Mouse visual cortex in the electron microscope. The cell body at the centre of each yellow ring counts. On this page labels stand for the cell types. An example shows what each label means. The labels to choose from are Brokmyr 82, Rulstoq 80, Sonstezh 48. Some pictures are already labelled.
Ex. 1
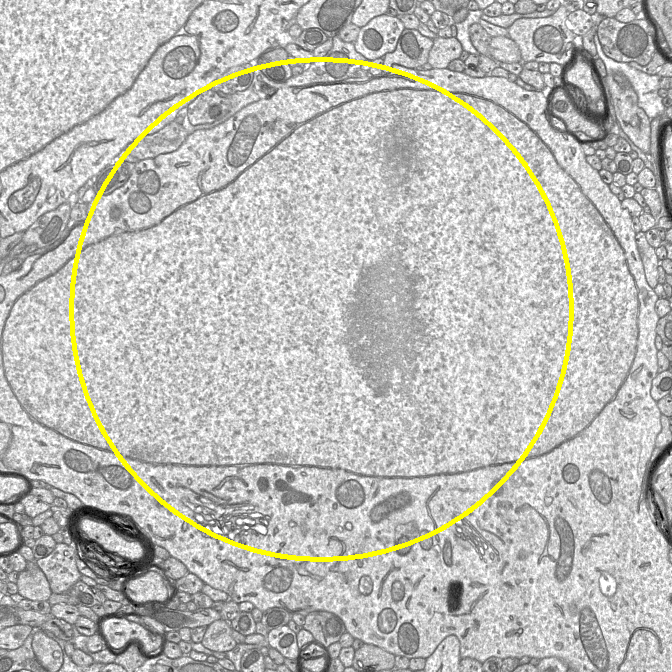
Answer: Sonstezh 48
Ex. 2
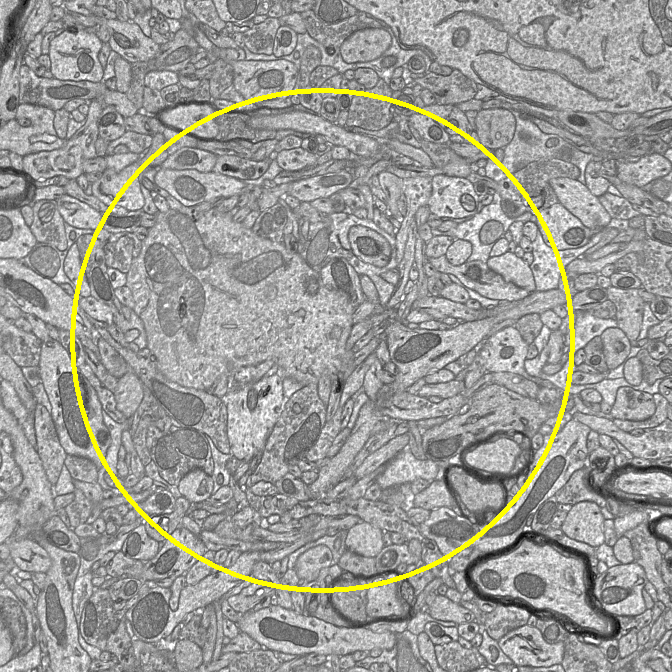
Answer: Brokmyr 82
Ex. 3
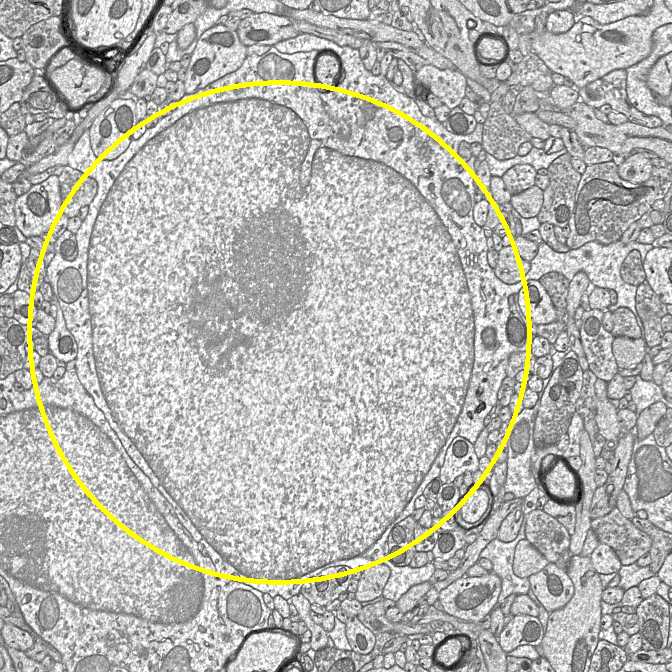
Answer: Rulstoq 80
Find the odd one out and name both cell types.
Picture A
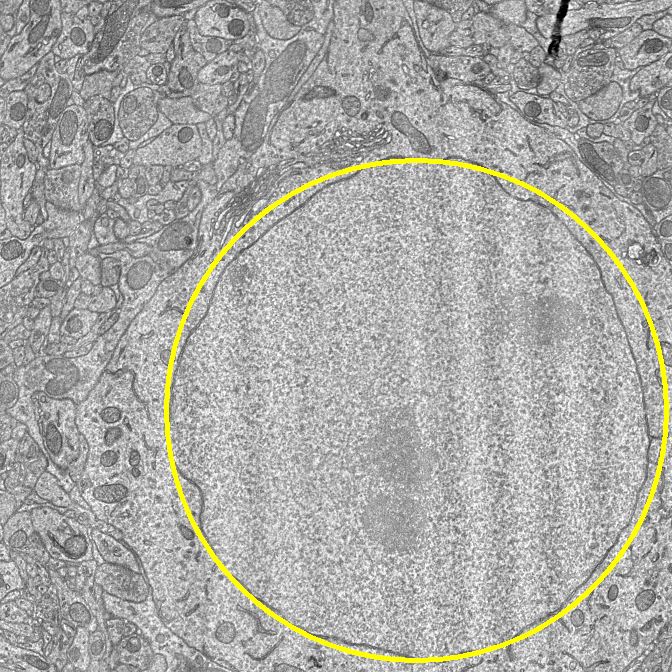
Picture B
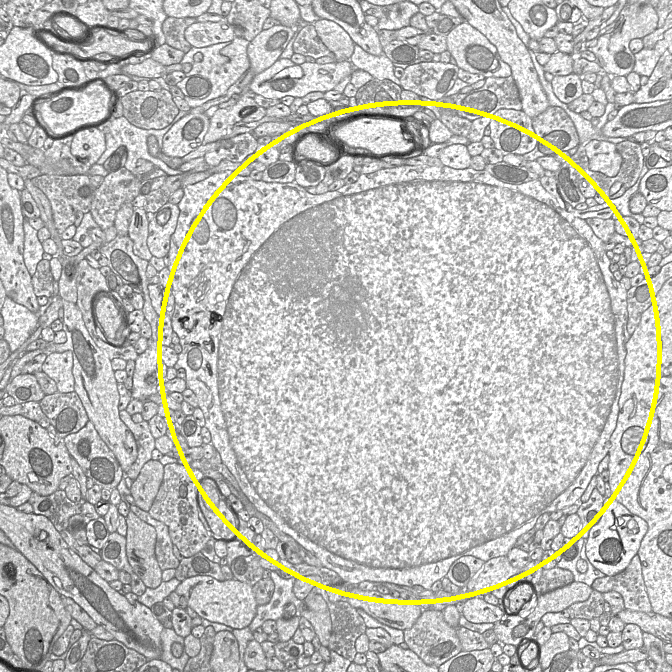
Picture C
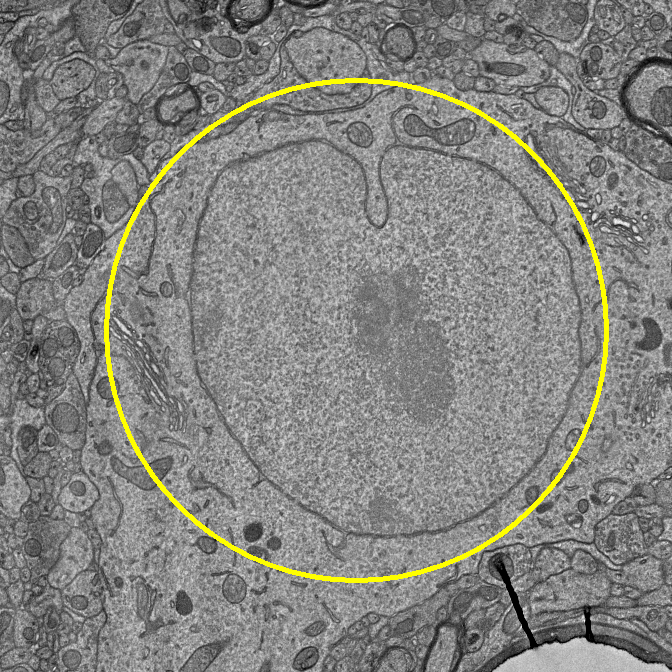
Exception: B, showing Rulstoq 80. Remaining pictures: Sonstezh 48.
